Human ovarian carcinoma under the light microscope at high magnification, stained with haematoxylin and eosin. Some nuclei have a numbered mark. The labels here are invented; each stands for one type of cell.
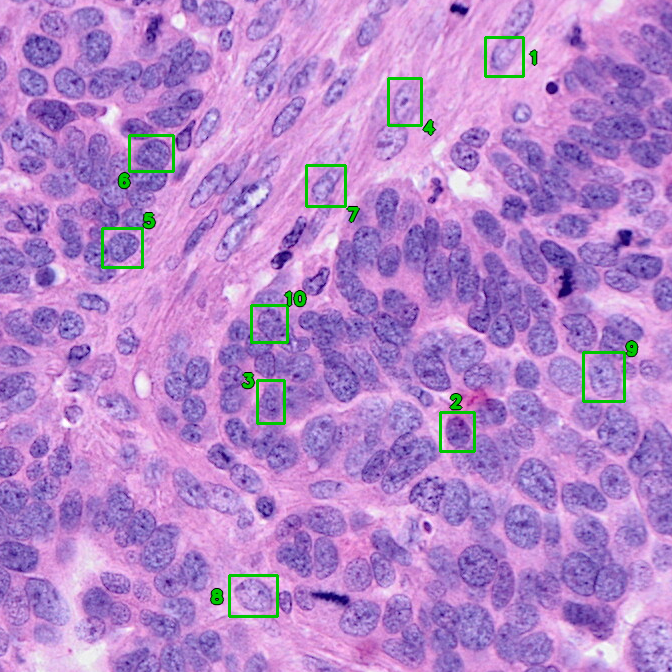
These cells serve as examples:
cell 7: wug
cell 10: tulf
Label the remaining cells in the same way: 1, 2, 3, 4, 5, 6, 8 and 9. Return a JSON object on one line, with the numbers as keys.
{"1": "wug", "2": "tulf", "3": "tulf", "4": "wug", "5": "tulf", "6": "tulf", "8": "wug", "9": "tulf"}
